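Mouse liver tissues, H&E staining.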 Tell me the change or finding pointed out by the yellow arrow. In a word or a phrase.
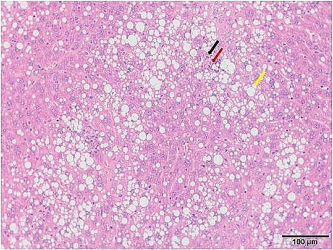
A: Hepatic steatosis.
